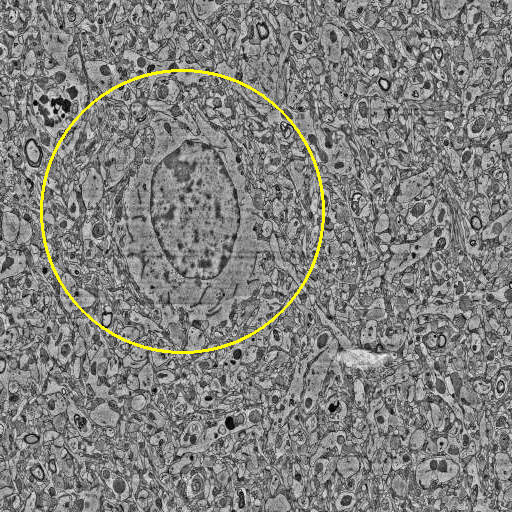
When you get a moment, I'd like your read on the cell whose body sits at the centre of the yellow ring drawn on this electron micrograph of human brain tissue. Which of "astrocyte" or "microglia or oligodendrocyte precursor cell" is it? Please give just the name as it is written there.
astrocyte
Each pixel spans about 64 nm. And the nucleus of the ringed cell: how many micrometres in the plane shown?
The nucleus of the ringed cell is clearly longer than it is wide in this plane, about 9 by 6 micrometres.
